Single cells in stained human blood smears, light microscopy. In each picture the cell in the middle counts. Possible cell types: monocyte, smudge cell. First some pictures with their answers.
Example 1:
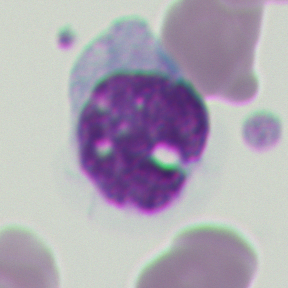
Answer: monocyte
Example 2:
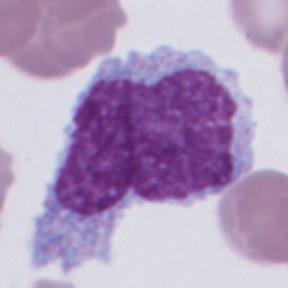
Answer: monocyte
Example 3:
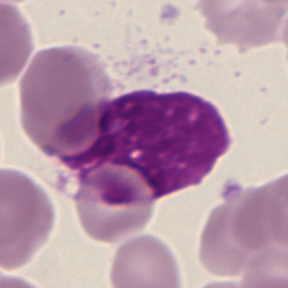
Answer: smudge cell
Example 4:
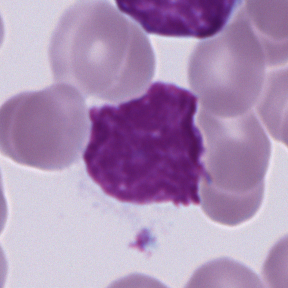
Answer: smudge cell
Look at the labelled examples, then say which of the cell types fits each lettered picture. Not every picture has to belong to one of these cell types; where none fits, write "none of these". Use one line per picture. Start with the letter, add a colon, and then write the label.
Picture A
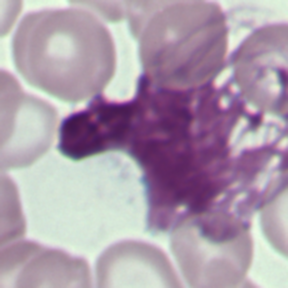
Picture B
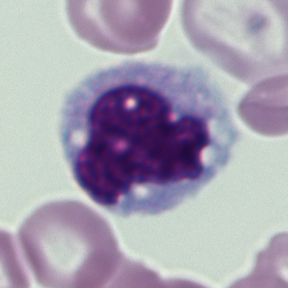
A: smudge cell
B: monocyte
